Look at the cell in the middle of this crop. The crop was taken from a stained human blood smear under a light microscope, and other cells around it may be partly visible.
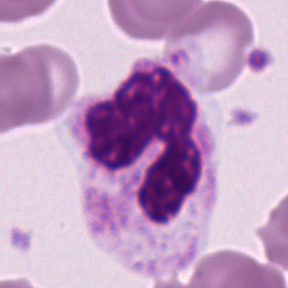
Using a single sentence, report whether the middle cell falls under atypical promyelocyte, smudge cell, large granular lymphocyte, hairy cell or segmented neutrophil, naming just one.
In the middle of this smear crop is a segmented neutrophil.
